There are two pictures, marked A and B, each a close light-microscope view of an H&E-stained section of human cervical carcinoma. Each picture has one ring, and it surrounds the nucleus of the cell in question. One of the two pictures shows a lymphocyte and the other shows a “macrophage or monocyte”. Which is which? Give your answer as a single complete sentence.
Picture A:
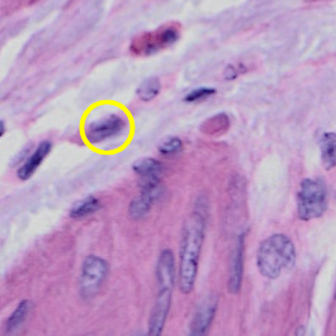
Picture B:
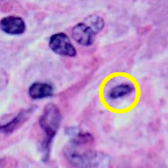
It is picture A that shows a “macrophage or monocyte”, and picture B that shows a lymphocyte.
